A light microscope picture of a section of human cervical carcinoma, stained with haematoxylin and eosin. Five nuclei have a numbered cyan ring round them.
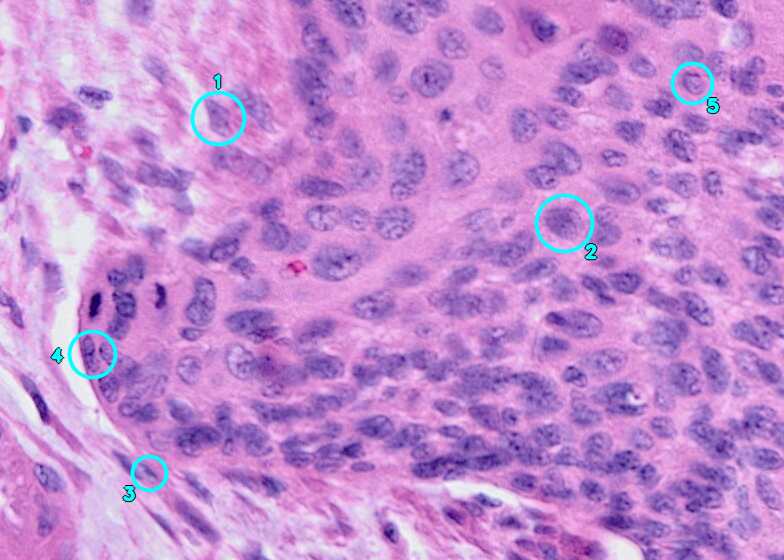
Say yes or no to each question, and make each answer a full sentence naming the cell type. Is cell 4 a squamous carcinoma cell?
Yes, it checks out; the cell labelled 4 is a squamous carcinoma cell.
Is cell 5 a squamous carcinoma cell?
Yes, kindly take note: the cell numbered 5 is a squamous carcinoma cell.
